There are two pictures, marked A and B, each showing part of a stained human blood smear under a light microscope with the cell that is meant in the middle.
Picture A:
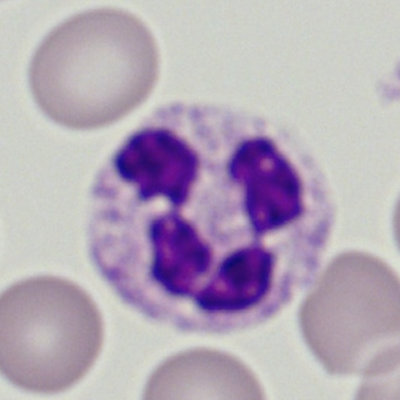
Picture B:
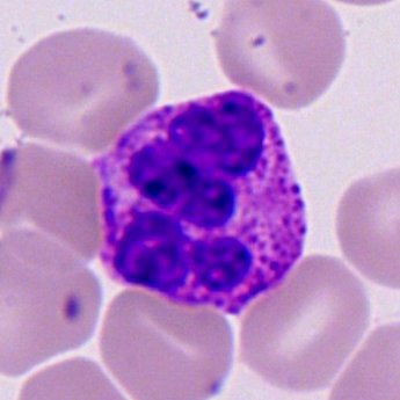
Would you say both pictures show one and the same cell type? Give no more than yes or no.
no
